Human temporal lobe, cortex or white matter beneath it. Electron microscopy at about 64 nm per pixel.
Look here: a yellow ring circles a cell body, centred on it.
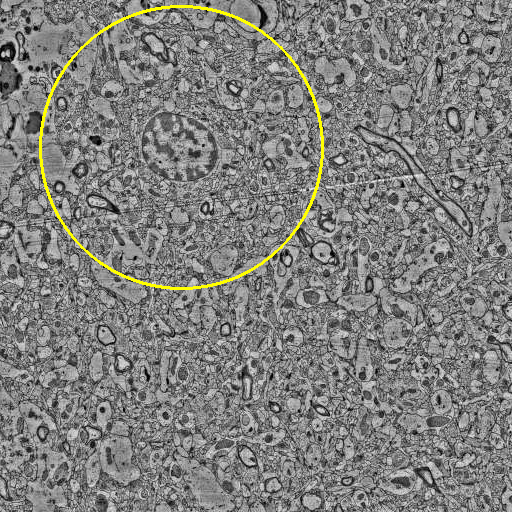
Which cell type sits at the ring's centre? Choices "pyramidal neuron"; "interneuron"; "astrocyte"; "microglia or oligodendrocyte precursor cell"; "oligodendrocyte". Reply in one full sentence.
The cell at the centre of the yellow ring in the picture is a microglial cell or oligodendrocyte precursor cell.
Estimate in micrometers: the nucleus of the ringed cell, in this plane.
In this plane, roughly 5 by 4 micrometres.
